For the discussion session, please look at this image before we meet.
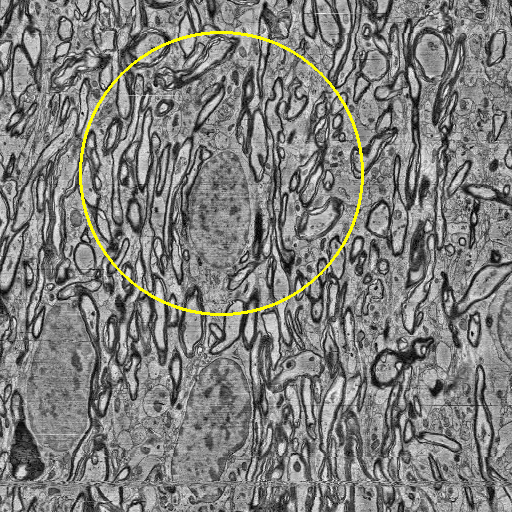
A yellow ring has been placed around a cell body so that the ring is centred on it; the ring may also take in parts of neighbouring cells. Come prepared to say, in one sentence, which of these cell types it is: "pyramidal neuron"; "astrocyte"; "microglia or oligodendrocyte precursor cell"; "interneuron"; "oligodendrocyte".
The cell centred in the ring is a microglial cell or oligodendrocyte precursor cell.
